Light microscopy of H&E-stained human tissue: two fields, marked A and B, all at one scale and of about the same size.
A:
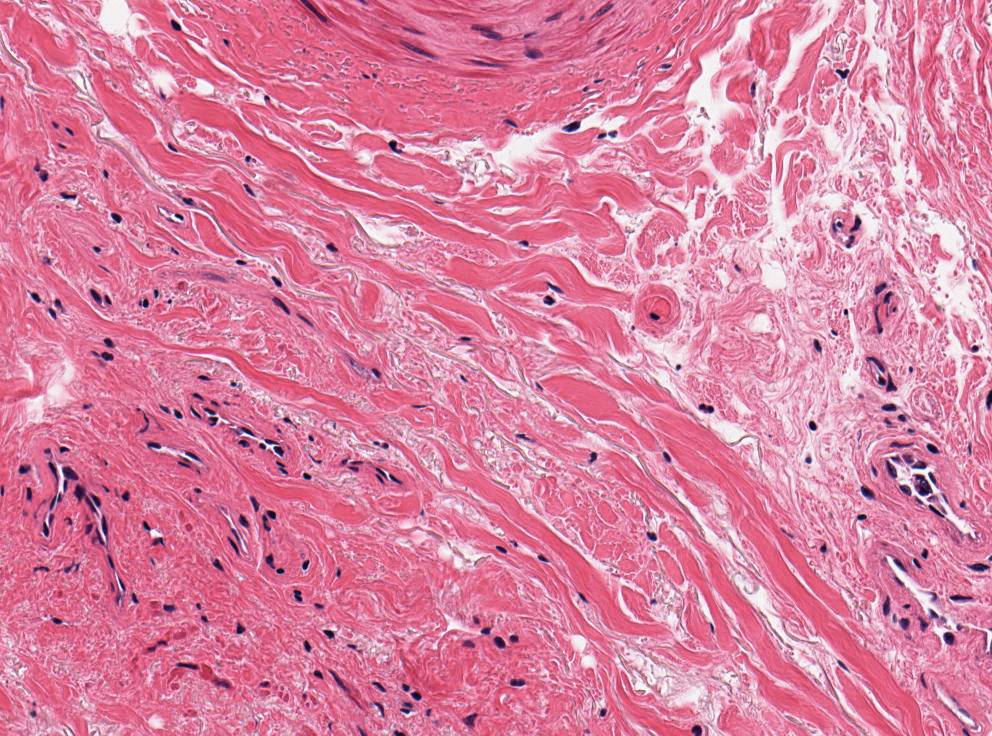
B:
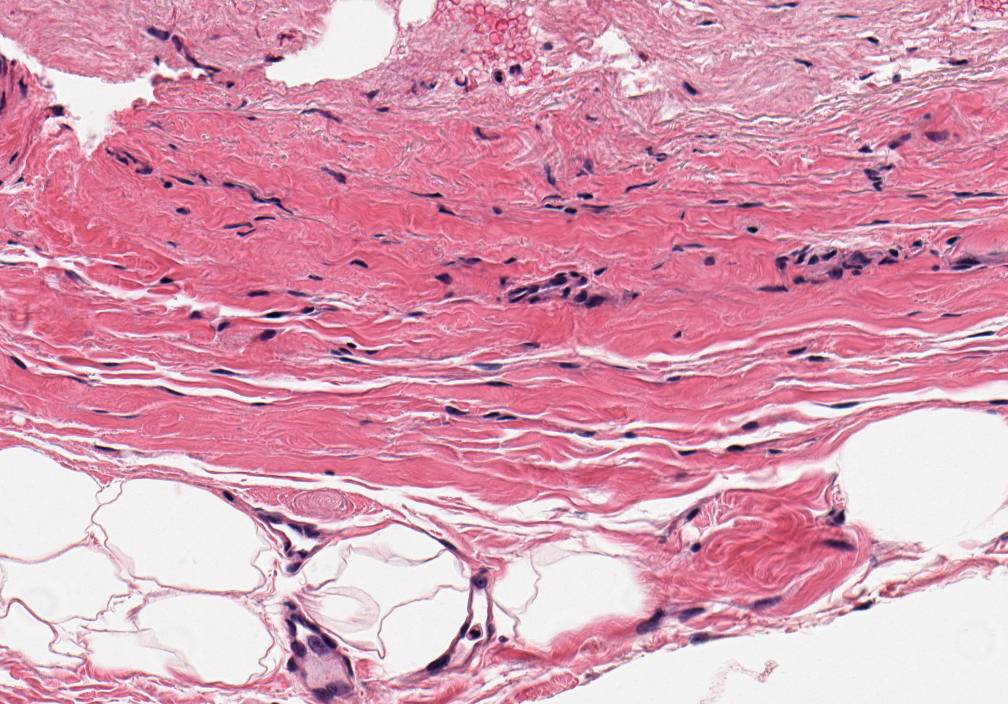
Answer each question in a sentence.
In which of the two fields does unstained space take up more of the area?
Picture B has more white space.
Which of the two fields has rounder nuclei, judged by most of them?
On the whole the nuclei of picture A are rounder than those of picture B.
